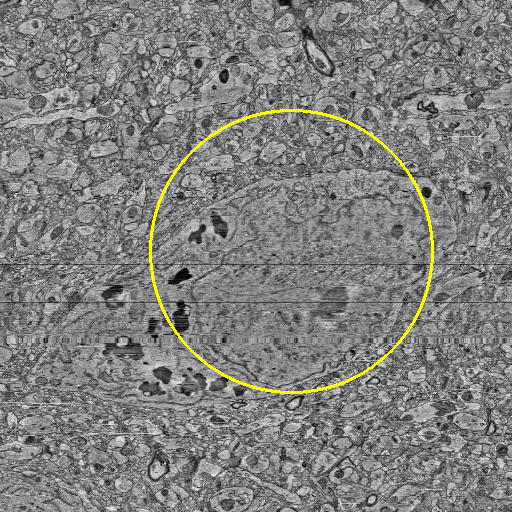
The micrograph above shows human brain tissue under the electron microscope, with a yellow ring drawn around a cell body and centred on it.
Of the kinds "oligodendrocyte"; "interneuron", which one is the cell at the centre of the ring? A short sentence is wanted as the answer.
The one at the centre of the ring is an interneuron.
